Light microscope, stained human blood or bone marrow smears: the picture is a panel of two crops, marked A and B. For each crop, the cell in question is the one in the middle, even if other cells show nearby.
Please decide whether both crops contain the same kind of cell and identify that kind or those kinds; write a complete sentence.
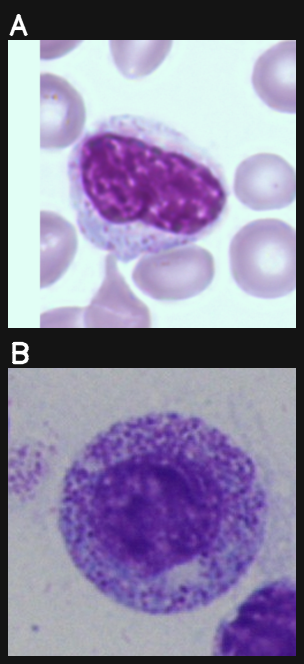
No, it is crop A that shows a metamyelocyte, and crop B shows a myelocyte.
